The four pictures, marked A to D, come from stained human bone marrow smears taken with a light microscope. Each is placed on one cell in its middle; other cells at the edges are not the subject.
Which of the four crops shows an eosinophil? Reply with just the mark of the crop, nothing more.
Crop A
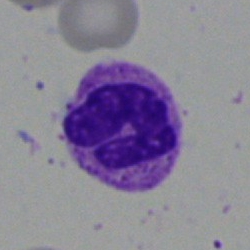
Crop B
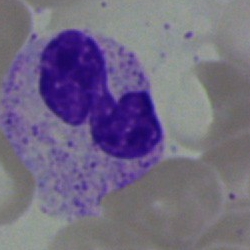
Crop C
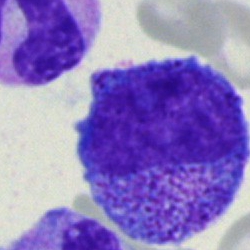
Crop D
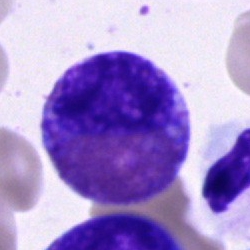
D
